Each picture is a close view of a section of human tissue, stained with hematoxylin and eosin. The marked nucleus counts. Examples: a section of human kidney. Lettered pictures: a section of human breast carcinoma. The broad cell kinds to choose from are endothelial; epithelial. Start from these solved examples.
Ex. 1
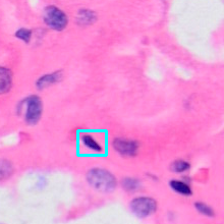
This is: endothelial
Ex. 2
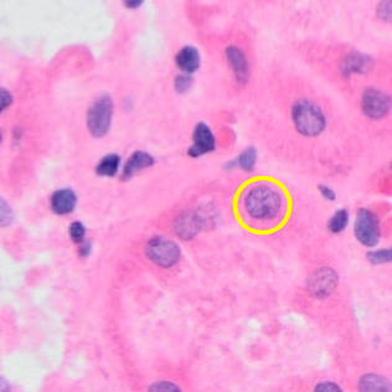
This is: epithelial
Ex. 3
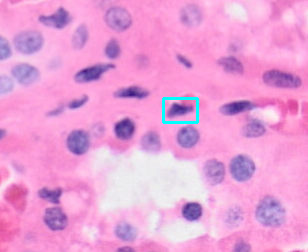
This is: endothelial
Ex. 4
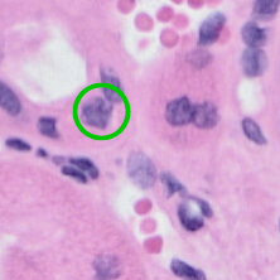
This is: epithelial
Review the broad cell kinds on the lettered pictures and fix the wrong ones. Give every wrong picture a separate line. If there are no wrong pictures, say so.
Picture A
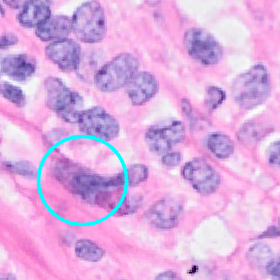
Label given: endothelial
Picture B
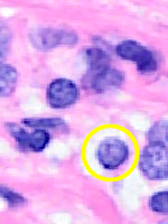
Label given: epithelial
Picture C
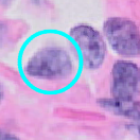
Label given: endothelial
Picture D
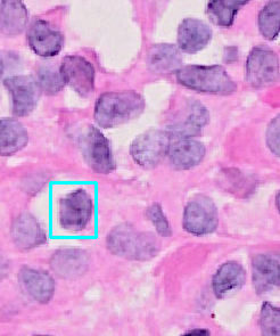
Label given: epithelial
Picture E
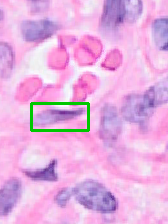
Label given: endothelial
C: not endothelial but epithelial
